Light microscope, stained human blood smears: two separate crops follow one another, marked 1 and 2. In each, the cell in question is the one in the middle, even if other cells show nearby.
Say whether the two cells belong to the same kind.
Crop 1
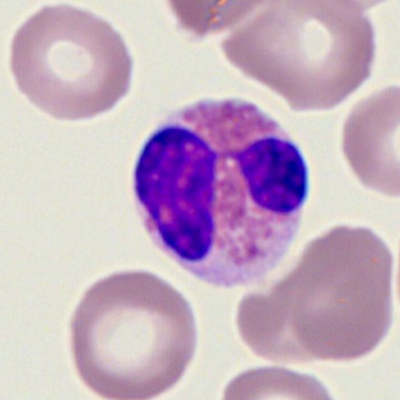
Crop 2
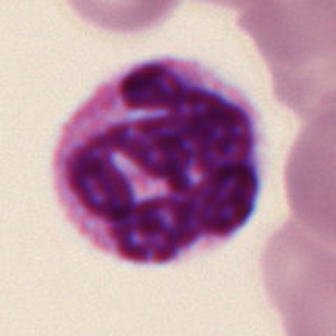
no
